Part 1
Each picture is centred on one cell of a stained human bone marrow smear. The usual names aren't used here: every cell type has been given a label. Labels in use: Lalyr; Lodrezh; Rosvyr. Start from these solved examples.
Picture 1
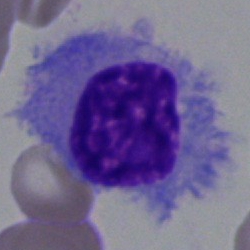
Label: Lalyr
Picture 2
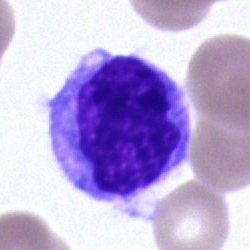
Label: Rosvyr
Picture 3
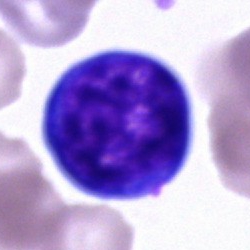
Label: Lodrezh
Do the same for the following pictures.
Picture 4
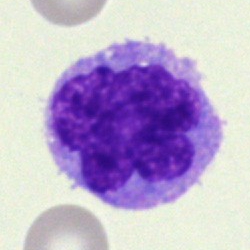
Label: Rosvyr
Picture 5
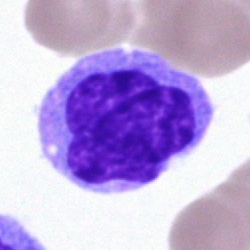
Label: Rosvyr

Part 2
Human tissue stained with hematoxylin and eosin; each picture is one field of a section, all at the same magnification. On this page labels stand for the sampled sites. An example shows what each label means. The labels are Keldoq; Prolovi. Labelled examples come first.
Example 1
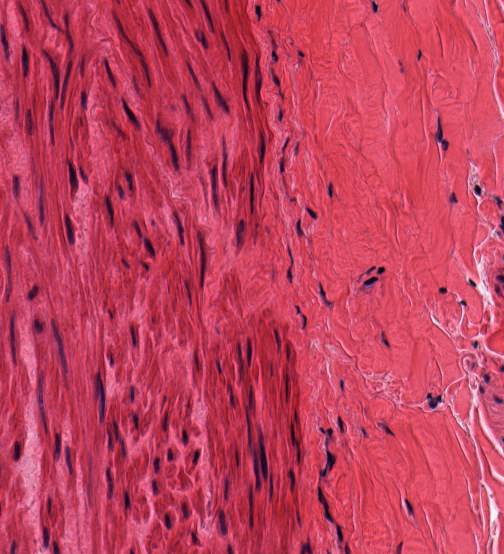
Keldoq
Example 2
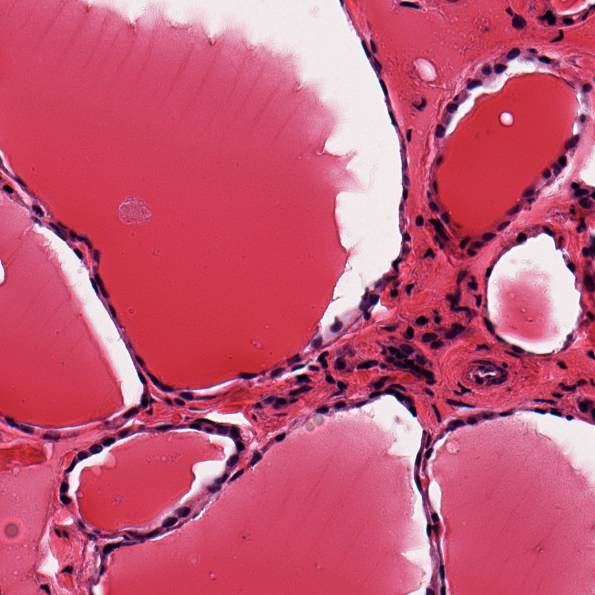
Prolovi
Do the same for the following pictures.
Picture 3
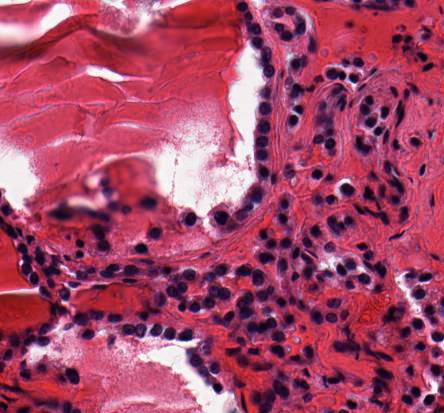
Prolovi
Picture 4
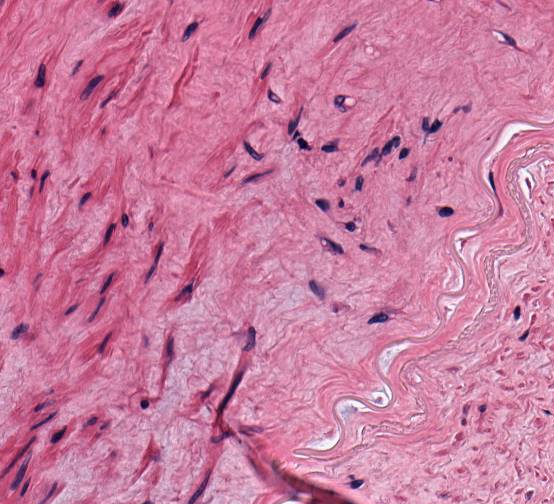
Keldoq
